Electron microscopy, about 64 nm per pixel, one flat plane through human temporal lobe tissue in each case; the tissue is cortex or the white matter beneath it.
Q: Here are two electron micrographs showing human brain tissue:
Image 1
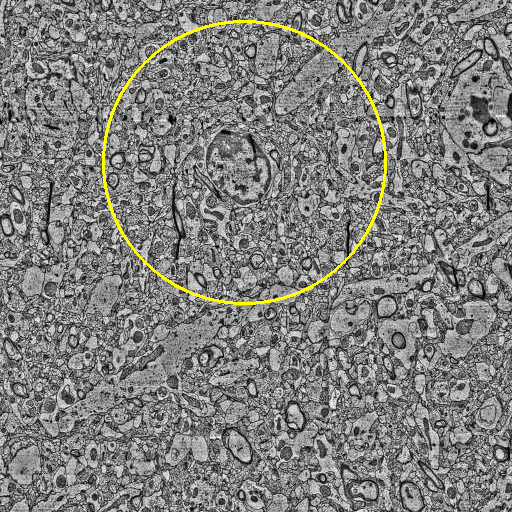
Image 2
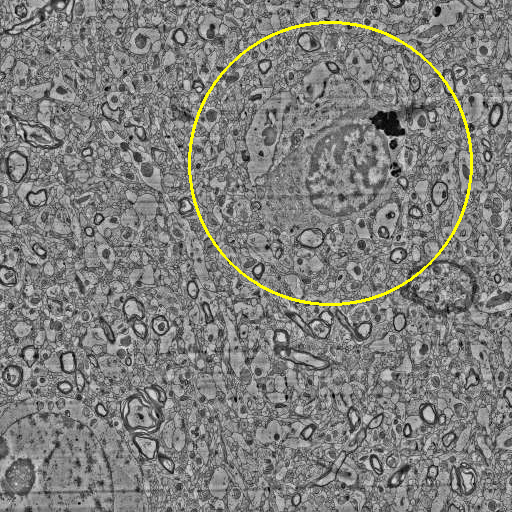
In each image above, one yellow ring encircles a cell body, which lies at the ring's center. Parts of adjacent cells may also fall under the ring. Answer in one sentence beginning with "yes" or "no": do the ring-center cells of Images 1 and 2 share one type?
No, in Images 1 and 2, the ring-center cells are of two types.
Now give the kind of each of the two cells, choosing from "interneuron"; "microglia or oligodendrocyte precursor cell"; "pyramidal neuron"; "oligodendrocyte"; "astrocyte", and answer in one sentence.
The cell in the first picture is a microglial cell or oligodendrocyte precursor cell, and the cell in the second is an oligodendrocyte.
